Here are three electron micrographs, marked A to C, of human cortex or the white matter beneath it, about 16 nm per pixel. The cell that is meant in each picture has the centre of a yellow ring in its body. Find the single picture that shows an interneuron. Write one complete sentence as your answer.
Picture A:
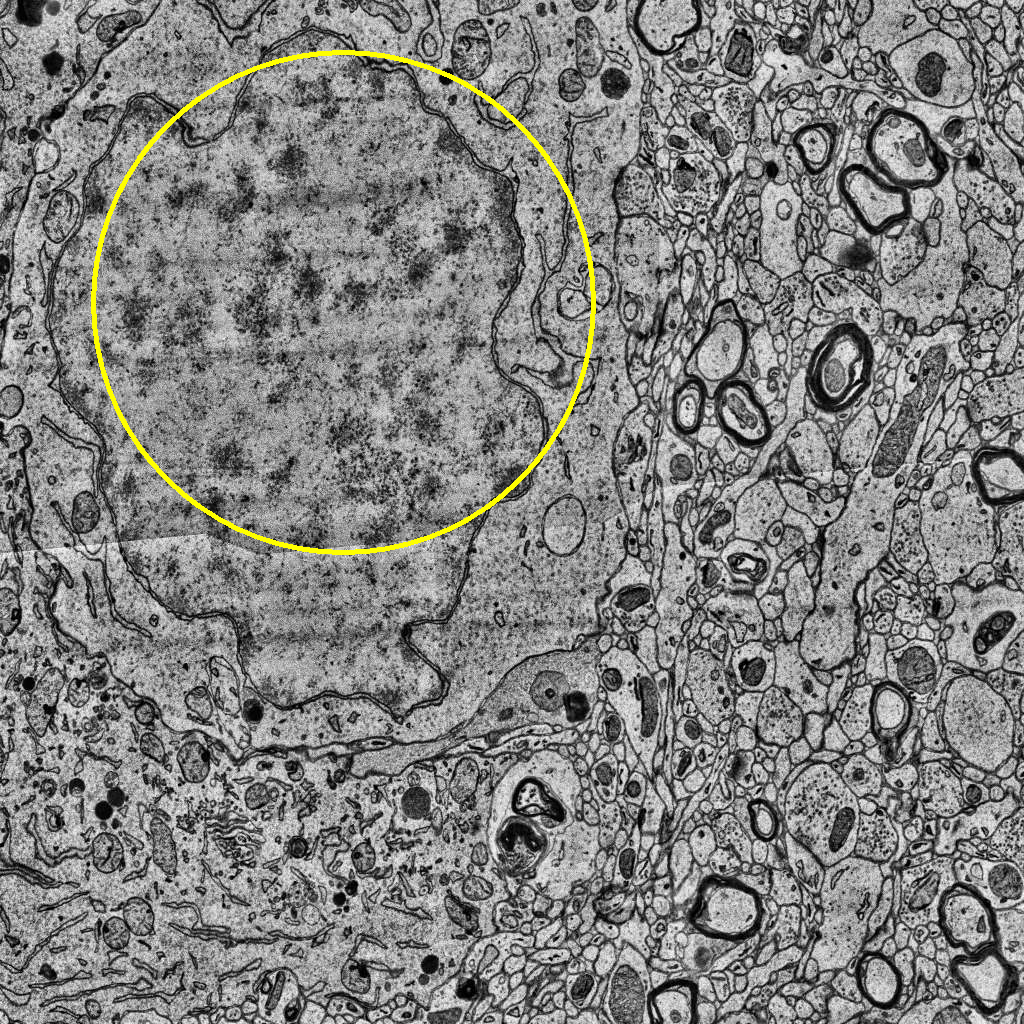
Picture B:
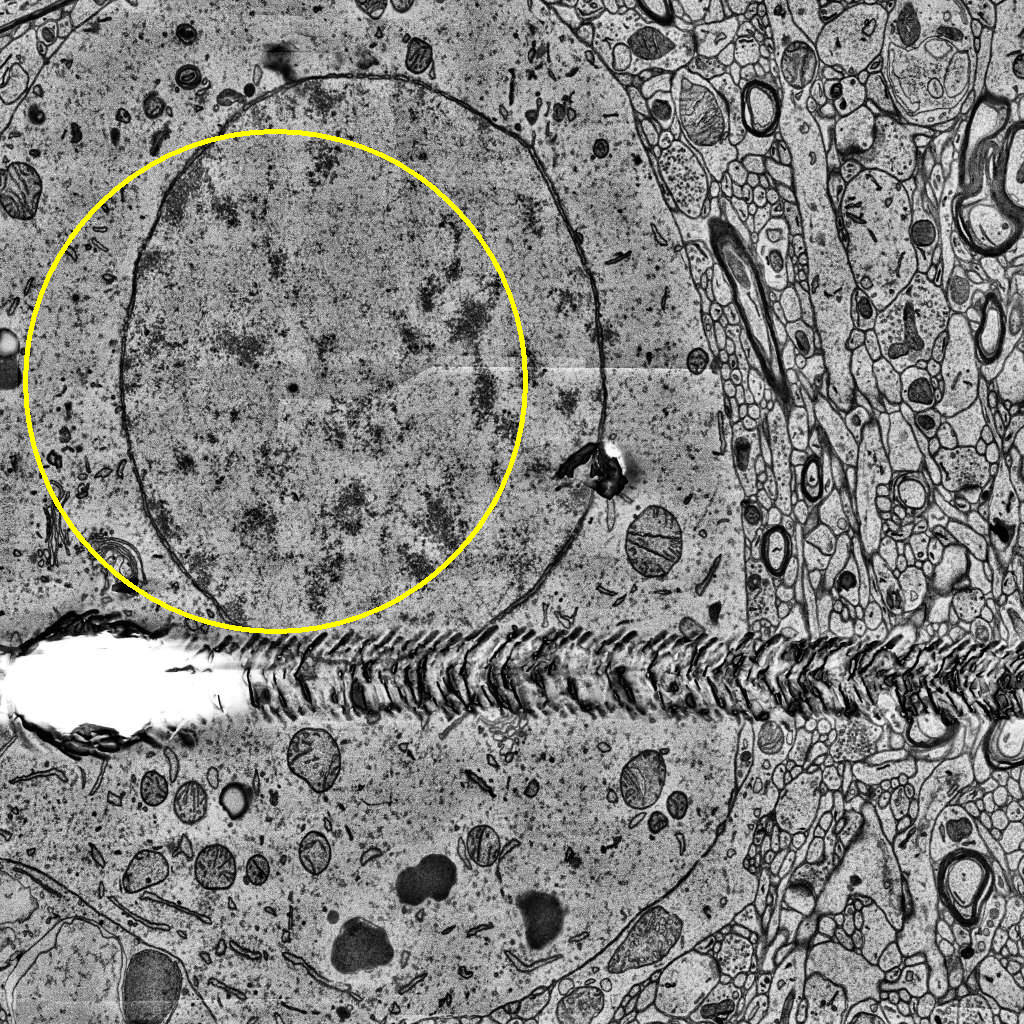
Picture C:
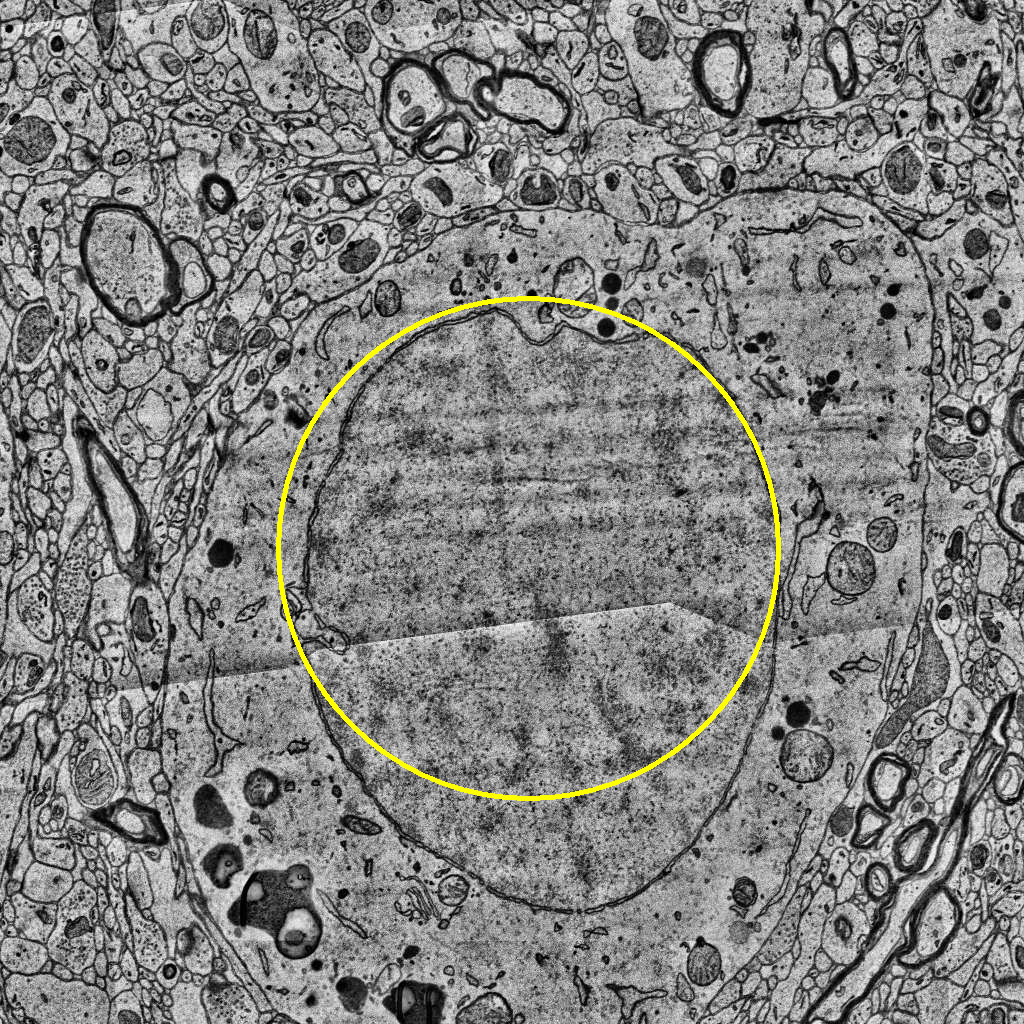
The cell in picture A is the interneuron.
